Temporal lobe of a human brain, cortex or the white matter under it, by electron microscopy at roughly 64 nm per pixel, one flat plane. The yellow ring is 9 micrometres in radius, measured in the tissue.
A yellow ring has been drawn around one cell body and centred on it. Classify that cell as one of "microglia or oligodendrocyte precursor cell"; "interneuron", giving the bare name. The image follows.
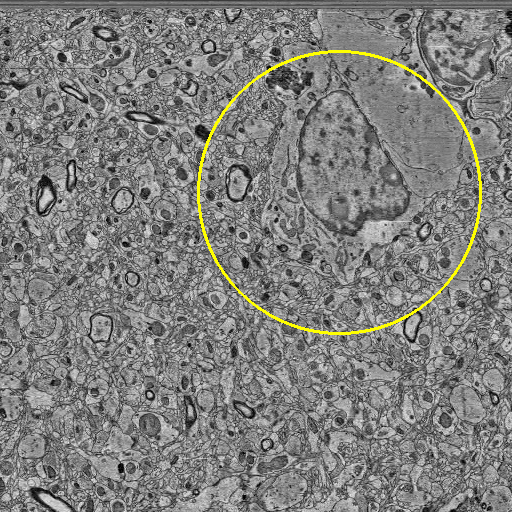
microglia or oligodendrocyte precursor cell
